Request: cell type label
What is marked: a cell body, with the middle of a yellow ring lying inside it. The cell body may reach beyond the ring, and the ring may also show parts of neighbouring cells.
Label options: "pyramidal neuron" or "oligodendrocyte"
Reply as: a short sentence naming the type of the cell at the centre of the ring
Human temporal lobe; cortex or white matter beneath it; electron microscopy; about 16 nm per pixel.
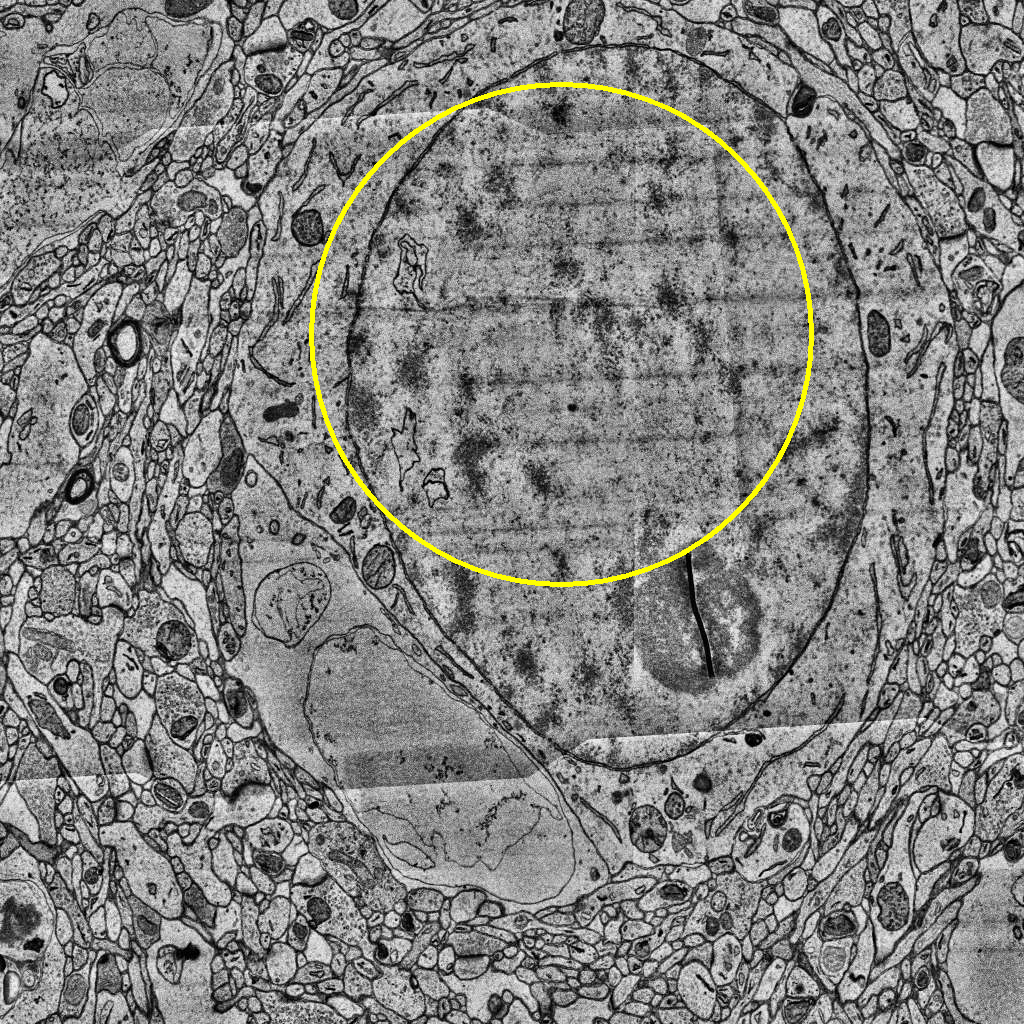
The marked cell body is that of a pyramidal neuron.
